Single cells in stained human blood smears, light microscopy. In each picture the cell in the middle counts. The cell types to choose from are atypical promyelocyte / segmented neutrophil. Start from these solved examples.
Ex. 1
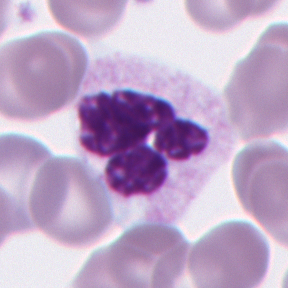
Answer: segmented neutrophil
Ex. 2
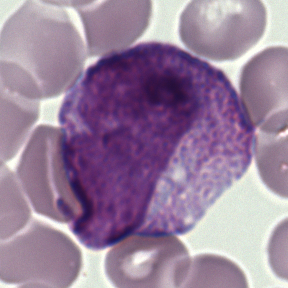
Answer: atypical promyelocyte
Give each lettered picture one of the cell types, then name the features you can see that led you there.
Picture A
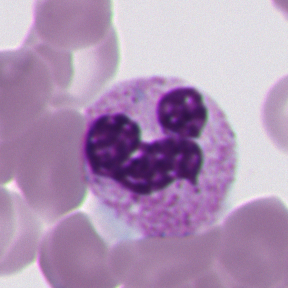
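Answer: segmented neutrophil. The cytoplasm is plentiful and pale pinkish.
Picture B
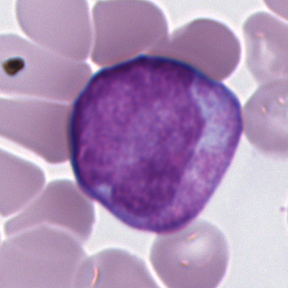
Answer: atypical promyelocyte. The nucleus fills most of the cell.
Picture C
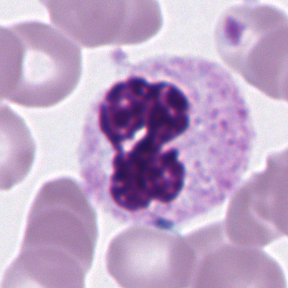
Answer: segmented neutrophil. The cytoplasm is abundant and pale pinkish-lilac.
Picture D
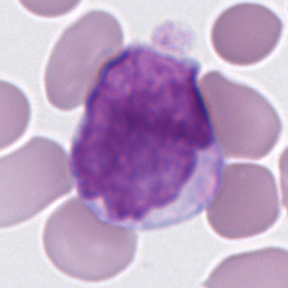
Answer: atypical promyelocyte. The cytoplasm is a scant, pale bluish-grey rim that is widest along the lower right of the cell.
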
